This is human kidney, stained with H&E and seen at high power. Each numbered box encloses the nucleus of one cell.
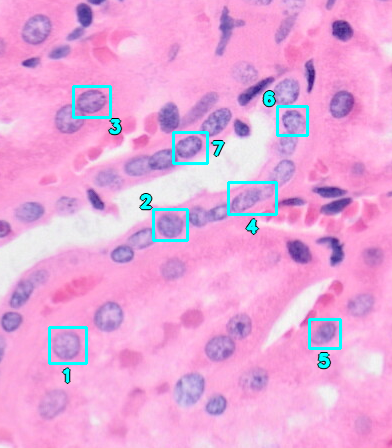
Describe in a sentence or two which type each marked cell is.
Cells 1, 3 and 5 are proximal tubule cells. Cells 2, 4, 6 and 7 are collecting duct cells.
